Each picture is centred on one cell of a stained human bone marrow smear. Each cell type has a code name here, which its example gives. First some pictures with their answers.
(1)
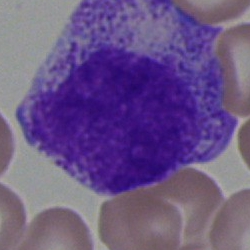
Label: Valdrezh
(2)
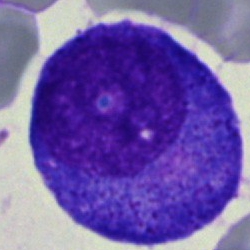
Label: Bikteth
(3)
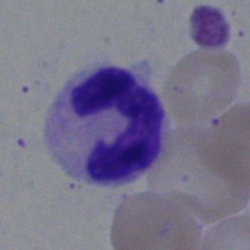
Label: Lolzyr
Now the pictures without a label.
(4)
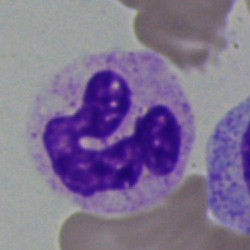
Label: Lolzyr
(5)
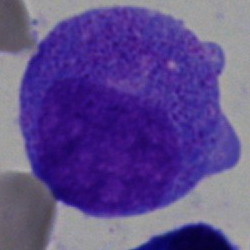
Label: Bikteth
